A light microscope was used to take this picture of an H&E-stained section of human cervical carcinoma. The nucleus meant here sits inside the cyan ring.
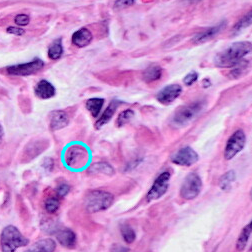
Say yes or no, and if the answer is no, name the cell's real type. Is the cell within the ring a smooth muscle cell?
No, it is an endothelial cell.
